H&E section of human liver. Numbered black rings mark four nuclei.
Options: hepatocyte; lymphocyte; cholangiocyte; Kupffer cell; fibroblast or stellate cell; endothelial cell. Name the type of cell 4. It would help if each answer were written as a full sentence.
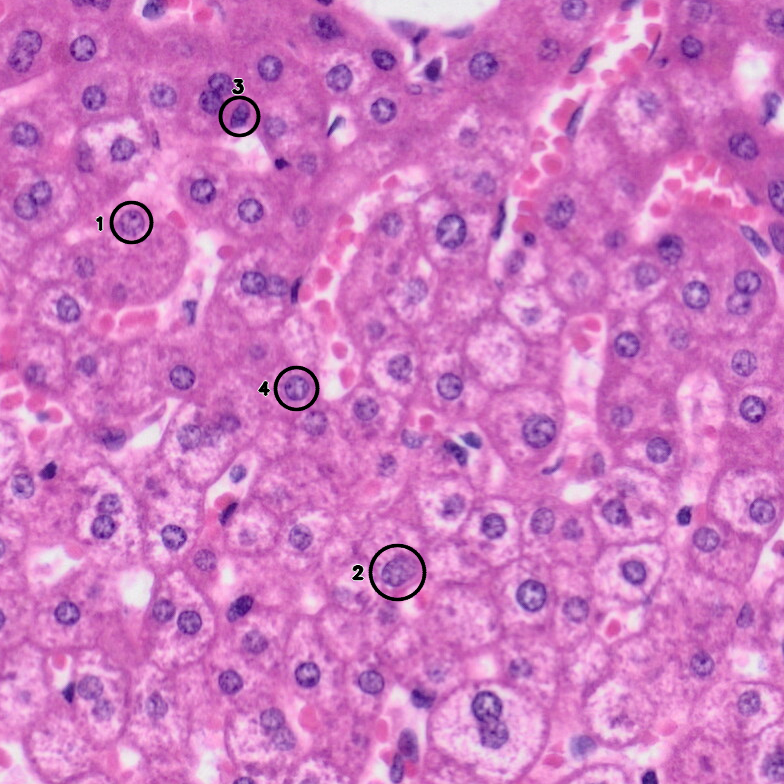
The cell pointed out by number 4 is a hepatocyte.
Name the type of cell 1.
The cell that bears the number 1 is a hepatocyte.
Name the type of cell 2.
Cell 2 is classified as a hepatocyte.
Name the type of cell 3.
Number 3 among the marked cells is a fibroblast or stellate cell.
